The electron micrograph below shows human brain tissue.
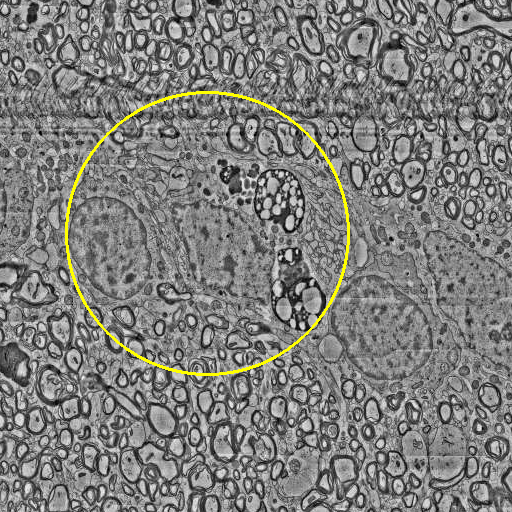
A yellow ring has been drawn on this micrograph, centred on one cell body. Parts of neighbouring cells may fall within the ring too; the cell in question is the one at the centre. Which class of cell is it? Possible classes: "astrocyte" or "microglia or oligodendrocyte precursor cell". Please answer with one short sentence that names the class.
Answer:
In the centre of the ring sits an astrocyte.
